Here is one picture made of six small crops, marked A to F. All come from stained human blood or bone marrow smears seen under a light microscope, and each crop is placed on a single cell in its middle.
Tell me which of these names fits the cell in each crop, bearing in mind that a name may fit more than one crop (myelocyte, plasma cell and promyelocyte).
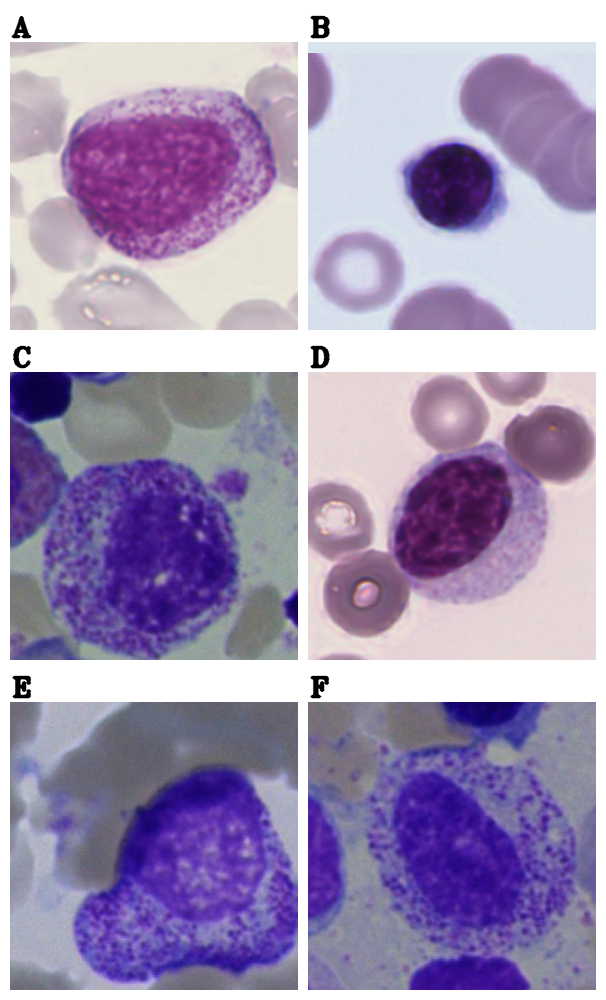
A: promyelocyte
B: plasma cell
C: myelocyte
D: myelocyte
E: myelocyte
F: myelocyte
